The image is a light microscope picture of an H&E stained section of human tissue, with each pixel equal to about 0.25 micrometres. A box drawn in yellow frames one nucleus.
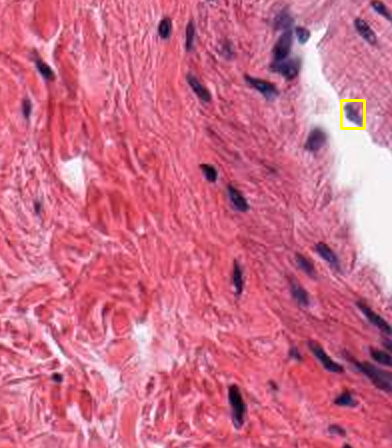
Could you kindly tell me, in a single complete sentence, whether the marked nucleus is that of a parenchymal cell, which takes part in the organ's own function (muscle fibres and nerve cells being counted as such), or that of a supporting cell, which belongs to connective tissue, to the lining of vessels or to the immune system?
A supporting cell is the owner of the marked nucleus.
